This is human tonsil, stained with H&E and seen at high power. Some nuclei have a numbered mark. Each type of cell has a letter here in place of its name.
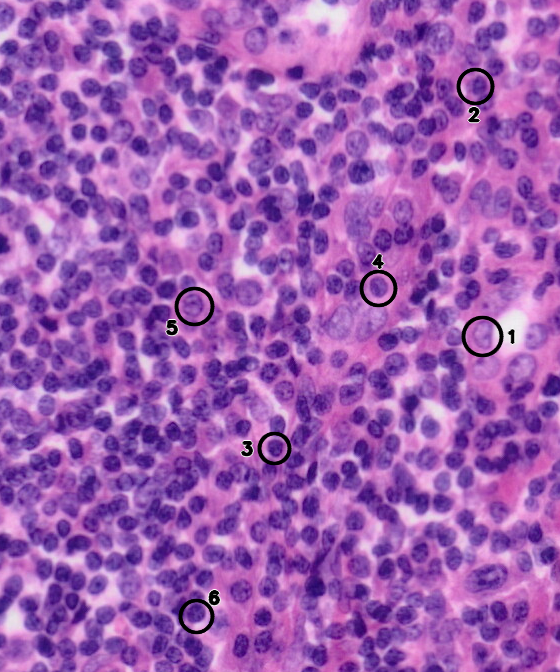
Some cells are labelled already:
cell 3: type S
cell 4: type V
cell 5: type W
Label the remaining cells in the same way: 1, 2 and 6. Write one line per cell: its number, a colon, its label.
1: type V
2: type W
6: type S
